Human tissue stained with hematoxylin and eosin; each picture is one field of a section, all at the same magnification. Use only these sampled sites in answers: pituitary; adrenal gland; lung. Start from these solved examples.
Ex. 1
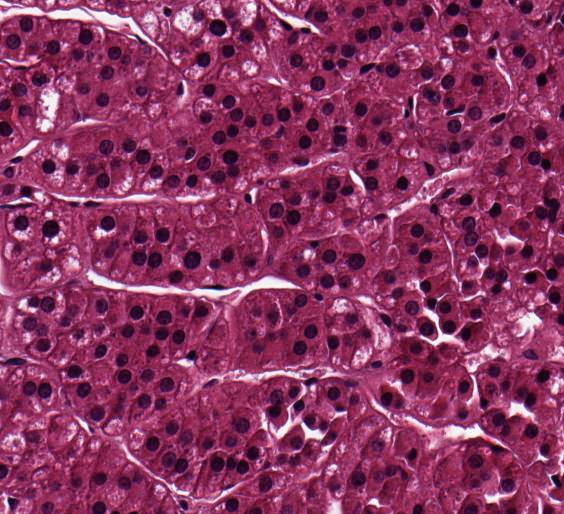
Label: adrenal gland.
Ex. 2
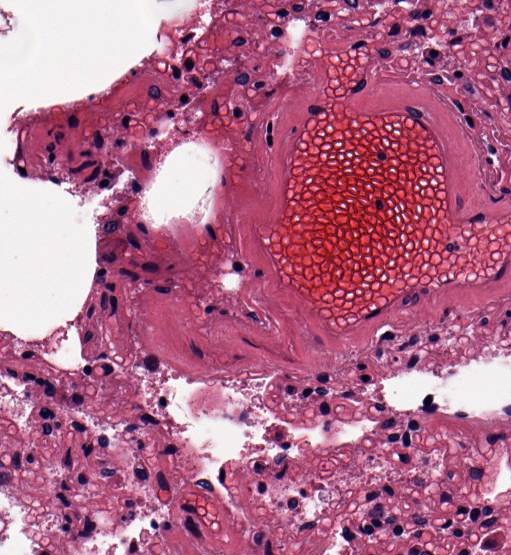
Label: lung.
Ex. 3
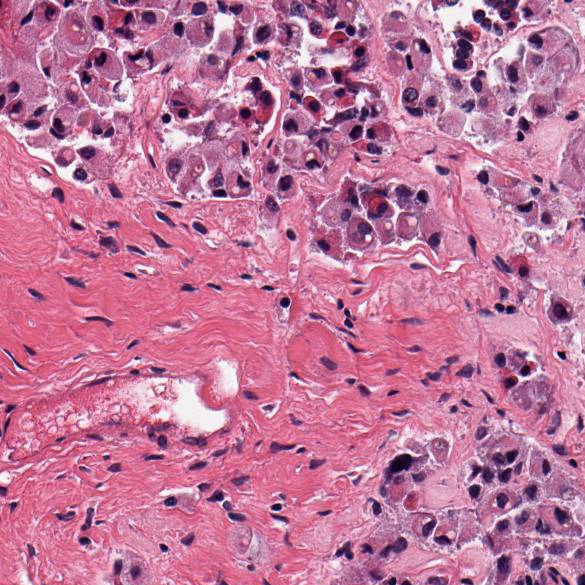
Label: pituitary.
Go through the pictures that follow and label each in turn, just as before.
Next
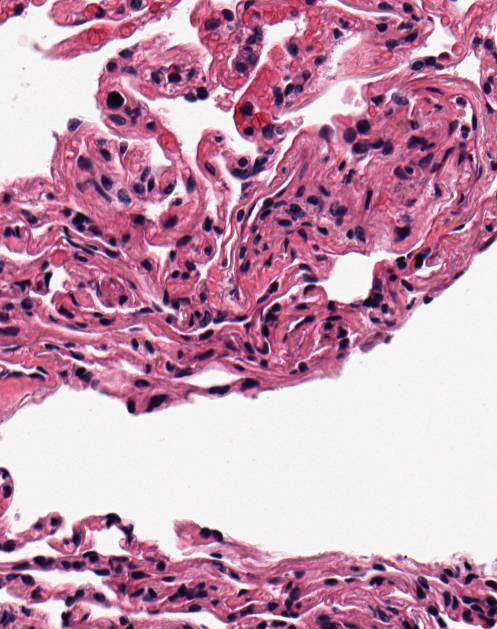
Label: lung.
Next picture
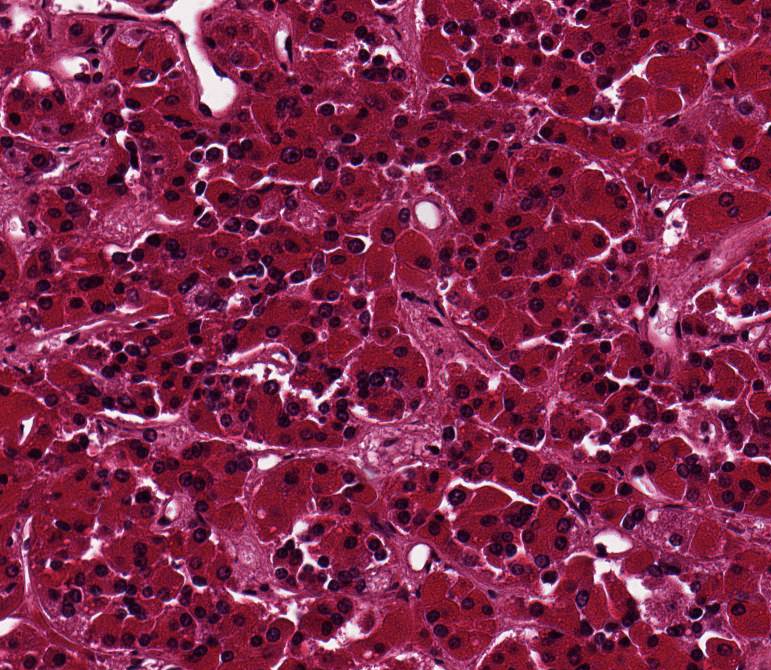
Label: pituitary.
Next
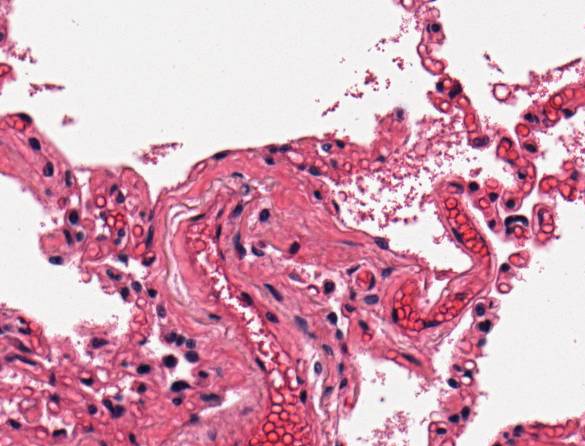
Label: lung.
